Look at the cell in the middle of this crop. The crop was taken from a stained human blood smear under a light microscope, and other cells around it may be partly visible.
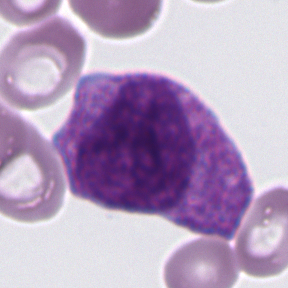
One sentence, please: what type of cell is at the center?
The cell of interest, in the center, is an atypical promyelocyte.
